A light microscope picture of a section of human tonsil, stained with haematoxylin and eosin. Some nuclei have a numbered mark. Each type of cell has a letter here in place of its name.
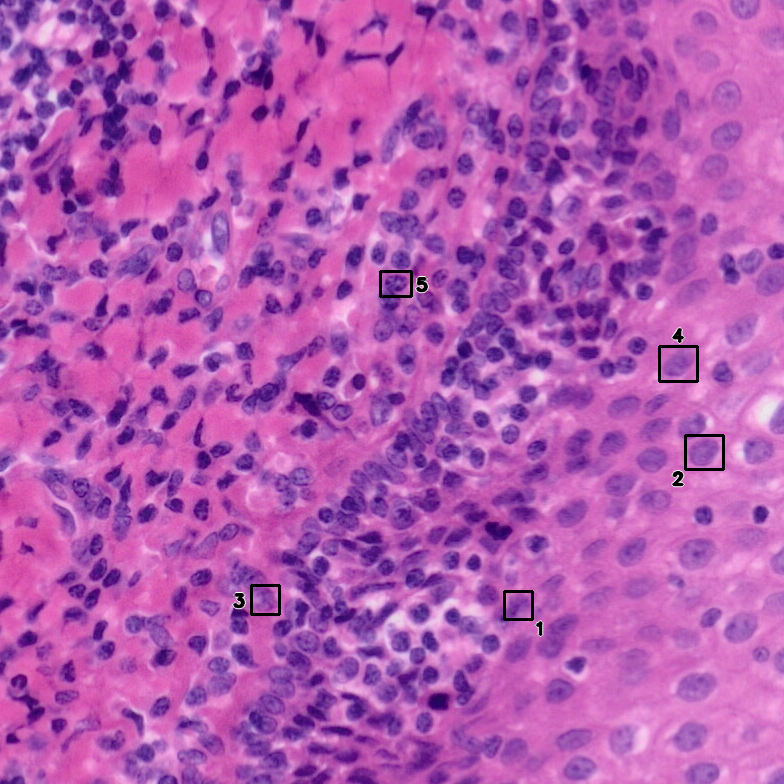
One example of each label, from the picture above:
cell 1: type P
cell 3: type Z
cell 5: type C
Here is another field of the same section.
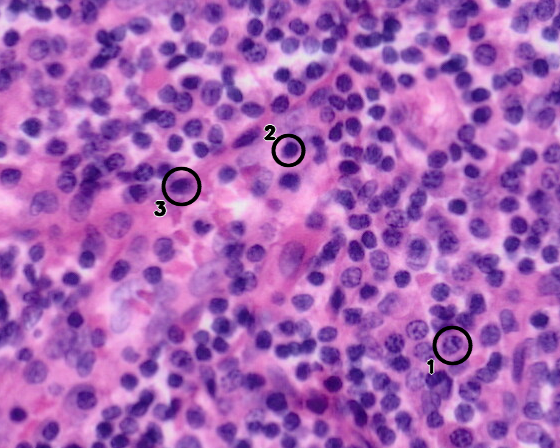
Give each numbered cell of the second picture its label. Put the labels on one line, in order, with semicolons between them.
type C; type Z; type Z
